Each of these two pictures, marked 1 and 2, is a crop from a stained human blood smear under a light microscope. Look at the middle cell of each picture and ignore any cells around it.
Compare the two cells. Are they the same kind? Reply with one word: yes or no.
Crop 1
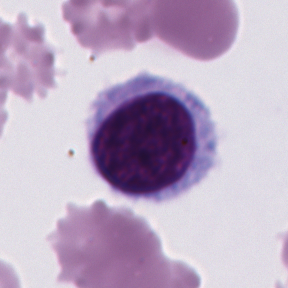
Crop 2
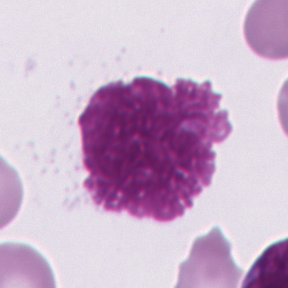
no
